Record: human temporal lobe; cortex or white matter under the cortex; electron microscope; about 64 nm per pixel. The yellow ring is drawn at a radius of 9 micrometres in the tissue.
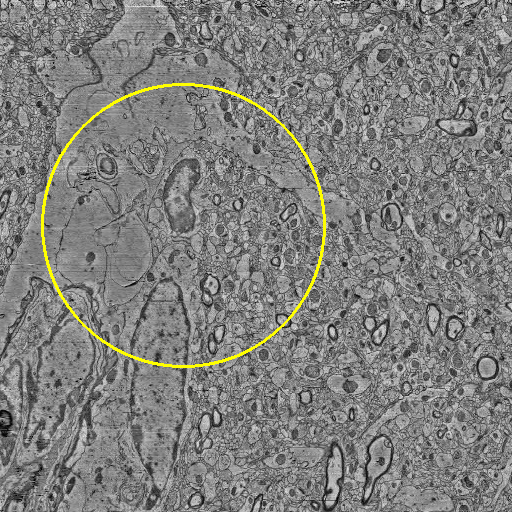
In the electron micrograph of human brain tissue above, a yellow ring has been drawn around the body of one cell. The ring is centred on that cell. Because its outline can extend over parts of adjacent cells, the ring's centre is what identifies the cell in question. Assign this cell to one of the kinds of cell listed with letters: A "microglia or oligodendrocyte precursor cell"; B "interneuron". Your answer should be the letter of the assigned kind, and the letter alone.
A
